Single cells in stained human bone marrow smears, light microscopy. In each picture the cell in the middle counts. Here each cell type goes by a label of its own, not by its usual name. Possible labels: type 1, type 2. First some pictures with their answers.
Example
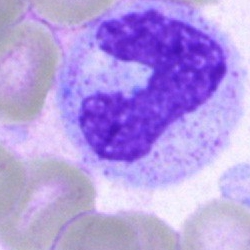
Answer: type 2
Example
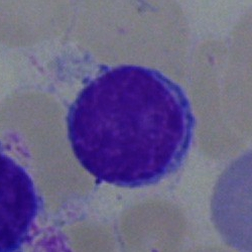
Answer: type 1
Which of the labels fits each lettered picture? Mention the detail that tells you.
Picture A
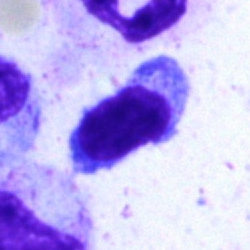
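Label: type 1. The scant cytoplasm is gathered mainly at the upper right end of the cell.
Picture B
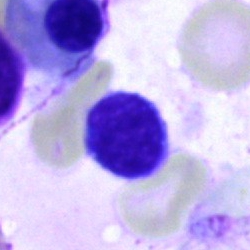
Label: type 1. The nucleus fills almost the whole cell, leaving at most a very thin rim of cytoplasm.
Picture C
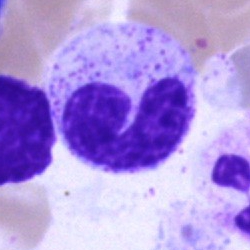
Label: type 2. The nucleus is deeply indented into a curled, horseshoe-like shape.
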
